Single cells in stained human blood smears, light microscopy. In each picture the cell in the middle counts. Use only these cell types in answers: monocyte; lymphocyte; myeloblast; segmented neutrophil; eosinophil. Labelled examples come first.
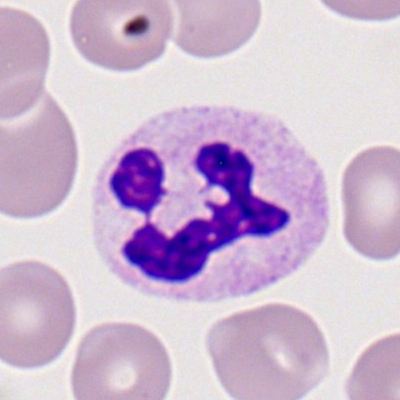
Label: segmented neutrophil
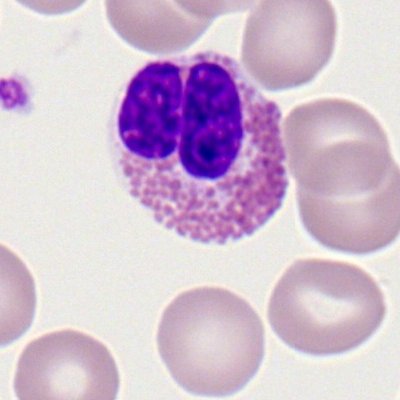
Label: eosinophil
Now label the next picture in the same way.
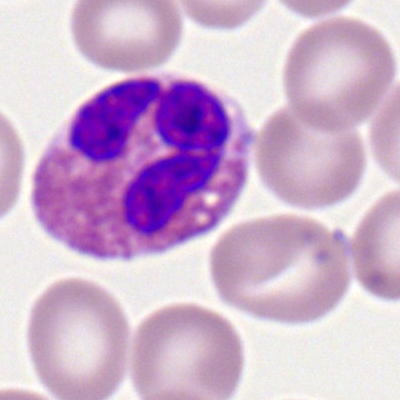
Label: eosinophil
